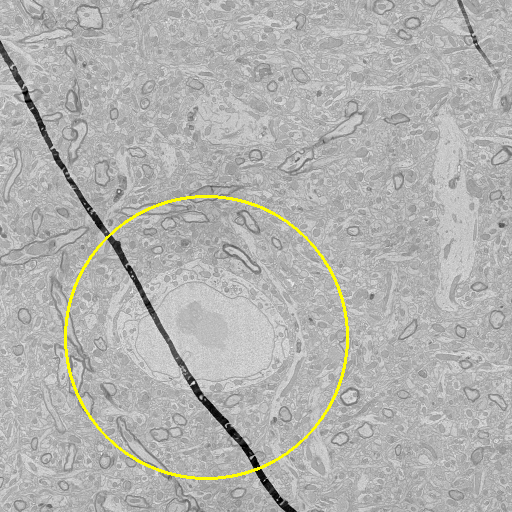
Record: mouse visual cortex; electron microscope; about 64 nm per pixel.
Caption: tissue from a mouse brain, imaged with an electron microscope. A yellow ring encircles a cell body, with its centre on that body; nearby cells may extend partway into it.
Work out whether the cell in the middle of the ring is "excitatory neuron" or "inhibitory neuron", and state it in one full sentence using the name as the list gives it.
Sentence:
In the picture, the cell that the yellow ring surrounds at its centre is an inhibitory neuron.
